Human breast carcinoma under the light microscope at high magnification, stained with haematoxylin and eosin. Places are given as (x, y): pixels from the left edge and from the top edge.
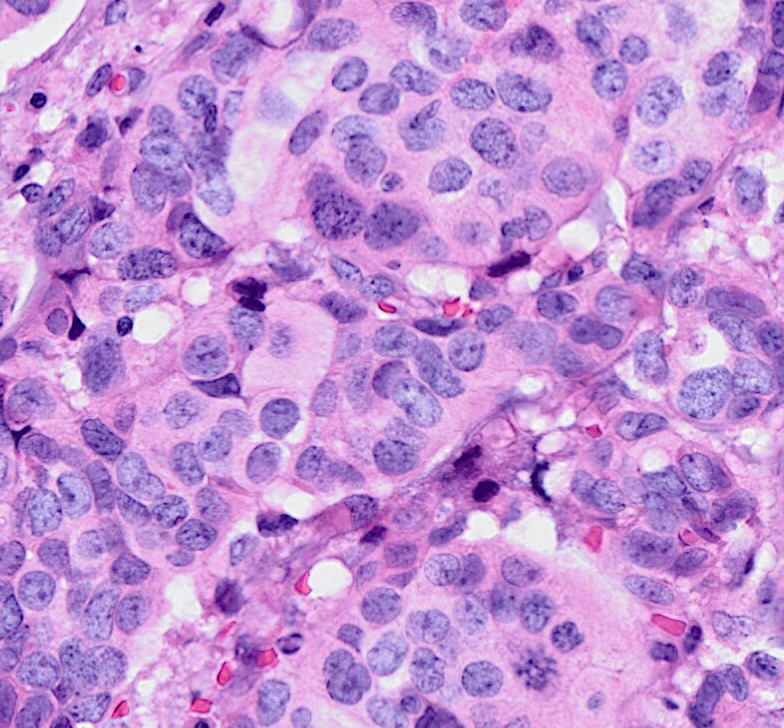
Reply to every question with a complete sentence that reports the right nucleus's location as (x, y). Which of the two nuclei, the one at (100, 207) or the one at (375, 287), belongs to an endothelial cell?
The nucleus situated at (375, 287) is the one belonging to an endothelial cell.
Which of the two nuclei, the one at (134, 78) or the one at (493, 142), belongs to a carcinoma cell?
The pair contains one nucleus of a carcinoma cell, namely the one at (493, 142).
